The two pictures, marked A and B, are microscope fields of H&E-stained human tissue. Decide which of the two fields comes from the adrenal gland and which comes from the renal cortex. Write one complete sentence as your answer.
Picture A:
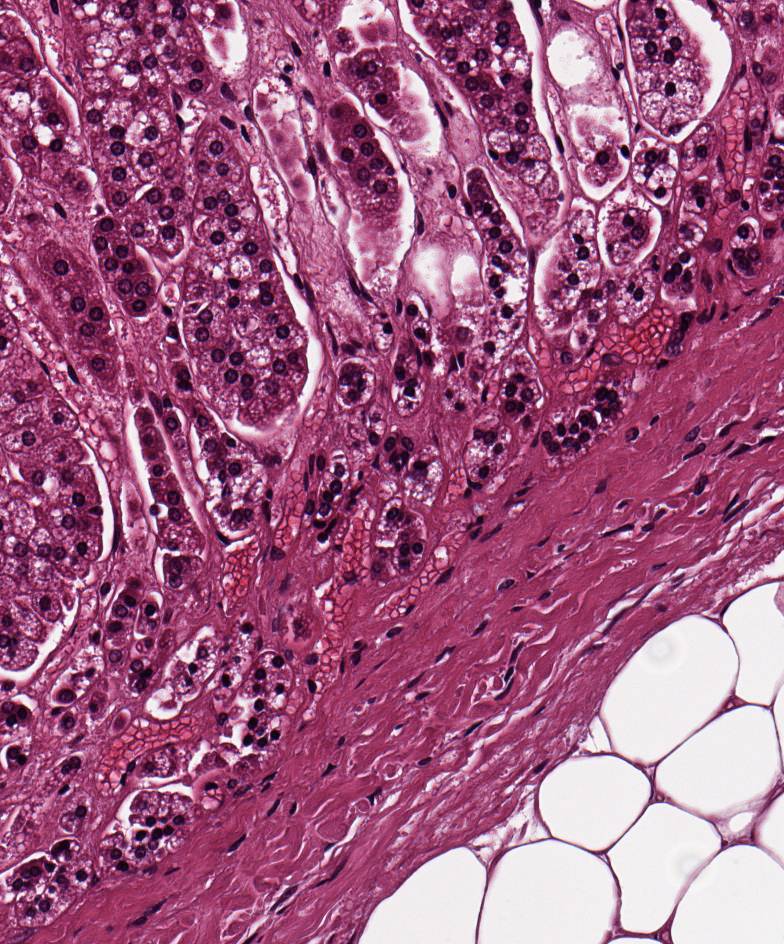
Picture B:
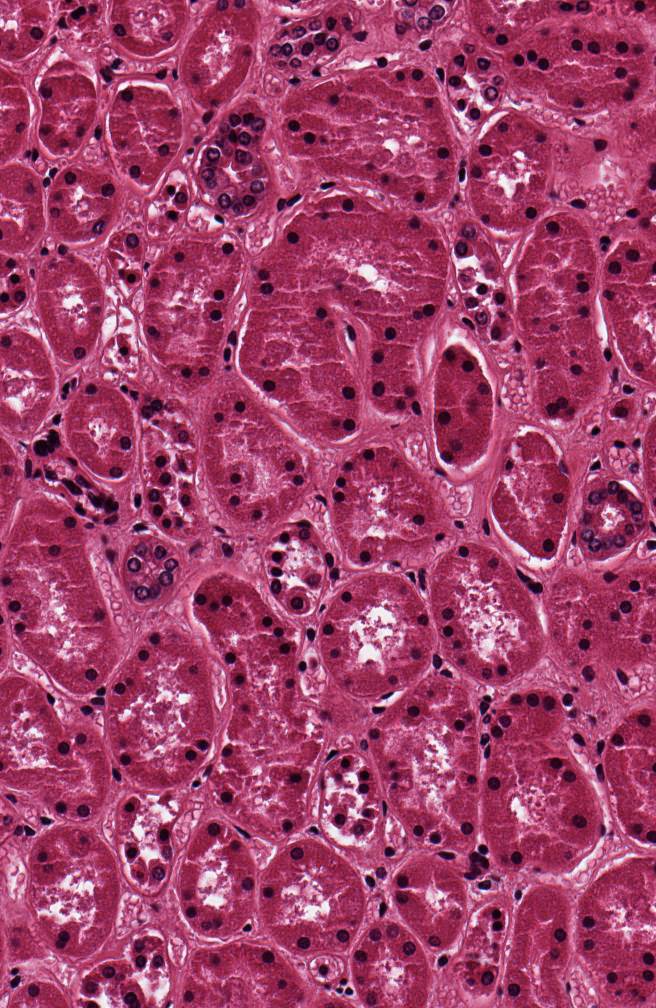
Picture A comes from the adrenal gland; picture B comes from the renal cortex.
